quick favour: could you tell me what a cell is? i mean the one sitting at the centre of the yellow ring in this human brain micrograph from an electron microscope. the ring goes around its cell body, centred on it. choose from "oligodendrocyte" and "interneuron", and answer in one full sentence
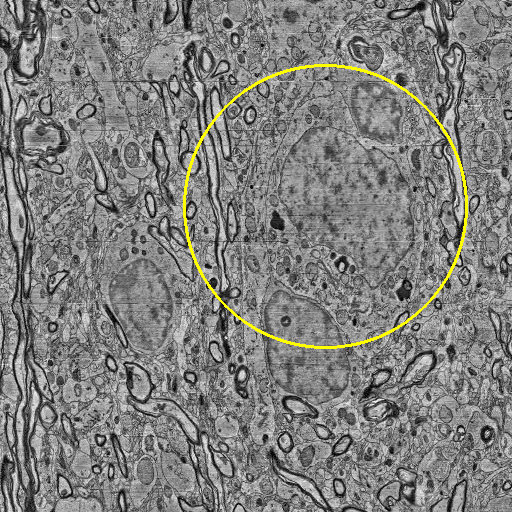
That's an interneuron, the cell sitting at the centre of the yellow ring.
